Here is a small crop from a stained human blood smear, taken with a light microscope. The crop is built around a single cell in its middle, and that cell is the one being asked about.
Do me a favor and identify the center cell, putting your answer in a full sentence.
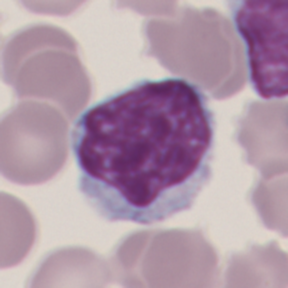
The cell that lies at the centre of the crop is a typical lymphocyte.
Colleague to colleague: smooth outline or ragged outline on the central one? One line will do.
Seen at its edge, the cell is not smooth but ragged or projecting.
